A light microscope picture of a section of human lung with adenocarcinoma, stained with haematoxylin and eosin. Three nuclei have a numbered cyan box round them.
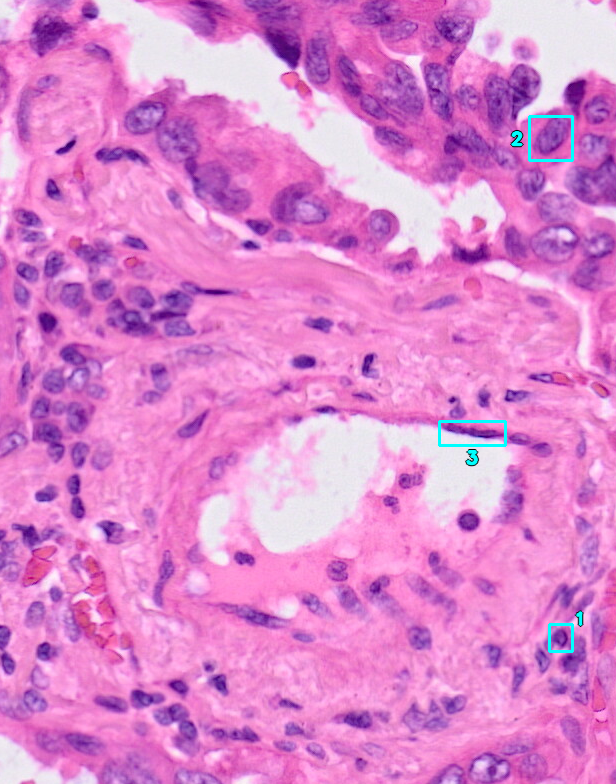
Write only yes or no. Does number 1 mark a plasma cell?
yes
